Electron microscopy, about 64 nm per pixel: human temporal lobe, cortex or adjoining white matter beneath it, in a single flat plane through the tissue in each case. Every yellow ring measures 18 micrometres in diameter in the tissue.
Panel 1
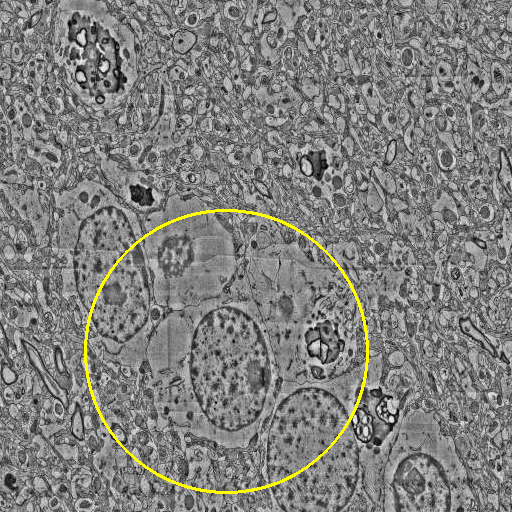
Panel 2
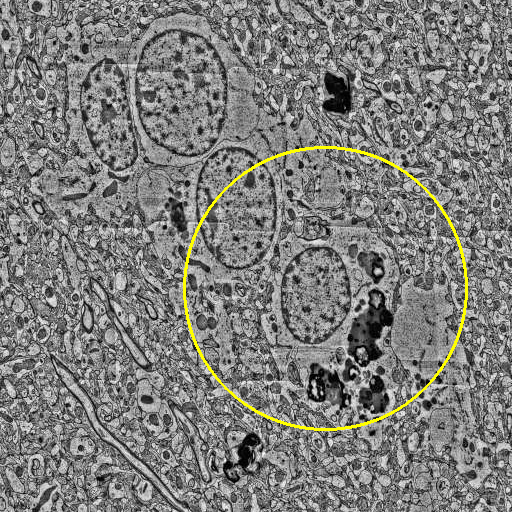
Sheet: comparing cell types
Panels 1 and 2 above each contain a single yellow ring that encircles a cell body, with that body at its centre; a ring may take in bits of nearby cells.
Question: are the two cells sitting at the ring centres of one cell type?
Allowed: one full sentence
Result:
Yes, the ring-centre cells in Panel 1 and Panel 2 are of one type.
